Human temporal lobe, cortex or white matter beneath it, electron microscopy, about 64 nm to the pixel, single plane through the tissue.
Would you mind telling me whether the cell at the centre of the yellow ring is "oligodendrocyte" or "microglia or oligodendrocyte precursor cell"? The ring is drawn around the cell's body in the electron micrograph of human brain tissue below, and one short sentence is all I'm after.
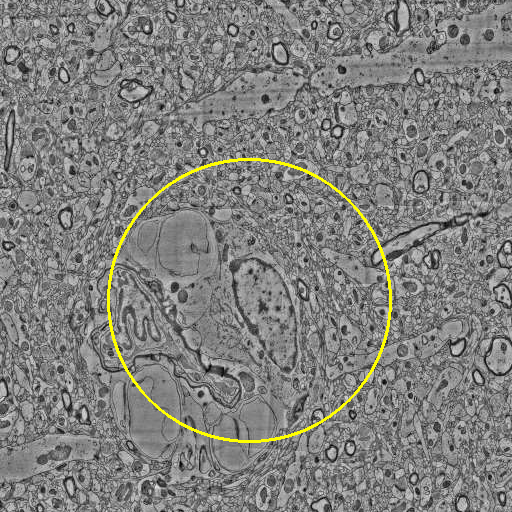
In the centre of the ring lies a microglial cell or oligodendrocyte precursor cell.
